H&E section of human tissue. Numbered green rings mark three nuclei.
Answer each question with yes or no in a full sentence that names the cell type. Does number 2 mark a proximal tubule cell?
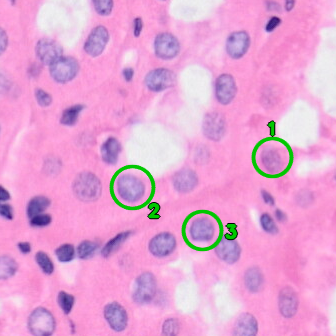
No, number 2 identifies a loop of Henle or distal tubule cell, not a proximal tubule cell.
